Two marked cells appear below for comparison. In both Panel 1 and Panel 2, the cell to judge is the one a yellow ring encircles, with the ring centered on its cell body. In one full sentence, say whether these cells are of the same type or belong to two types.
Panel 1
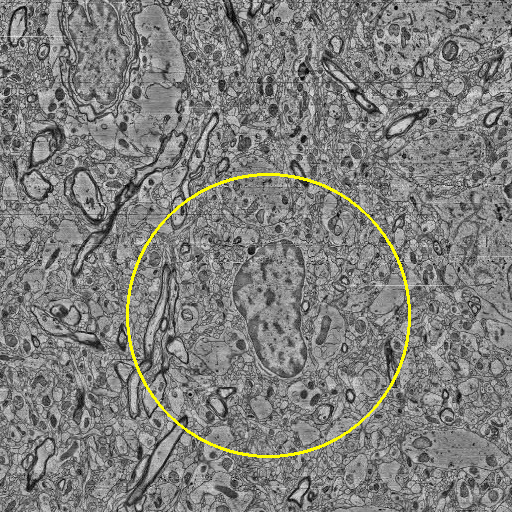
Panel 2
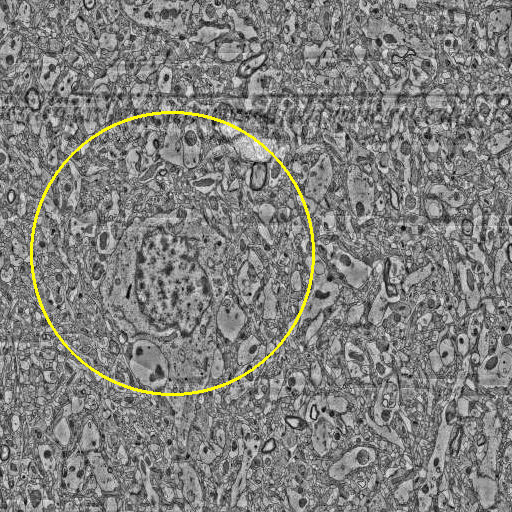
The cell centered in the Panel 1 ring and the one in Panel 2 belong to two types.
